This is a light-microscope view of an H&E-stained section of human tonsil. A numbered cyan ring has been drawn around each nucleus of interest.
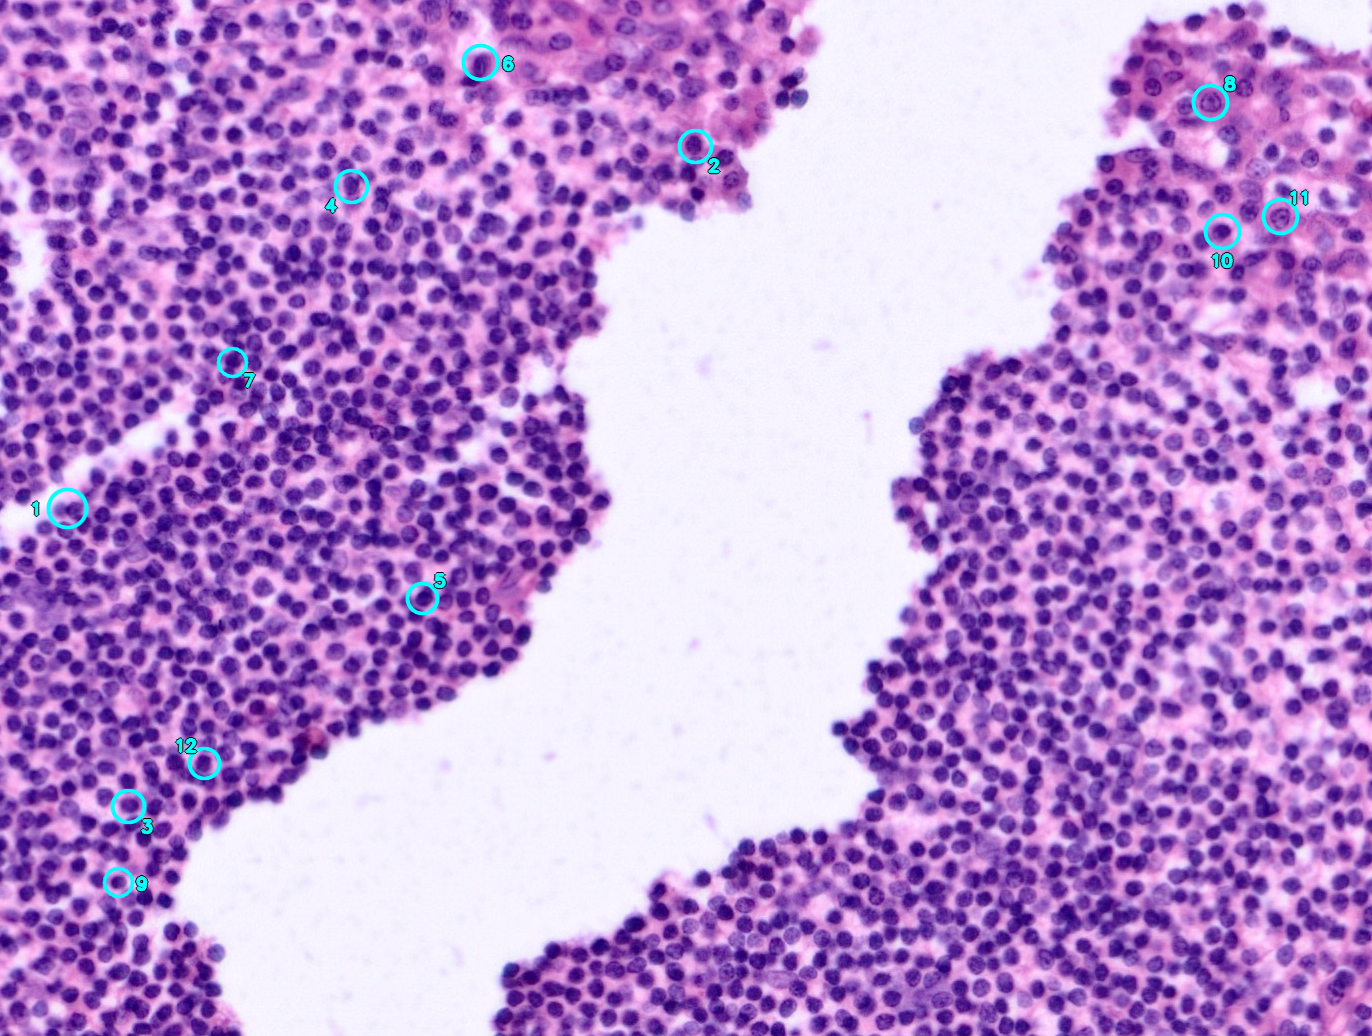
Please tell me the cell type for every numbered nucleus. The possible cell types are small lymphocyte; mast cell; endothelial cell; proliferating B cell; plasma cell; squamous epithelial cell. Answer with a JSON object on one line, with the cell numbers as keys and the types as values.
{"1": "small lymphocyte", "2": "plasma cell", "3": "small lymphocyte", "4": "small lymphocyte", "5": "small lymphocyte", "6": "plasma cell", "7": "small lymphocyte", "8": "plasma cell", "9": "small lymphocyte", "10": "plasma cell", "11": "plasma cell", "12": "small lymphocyte"}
